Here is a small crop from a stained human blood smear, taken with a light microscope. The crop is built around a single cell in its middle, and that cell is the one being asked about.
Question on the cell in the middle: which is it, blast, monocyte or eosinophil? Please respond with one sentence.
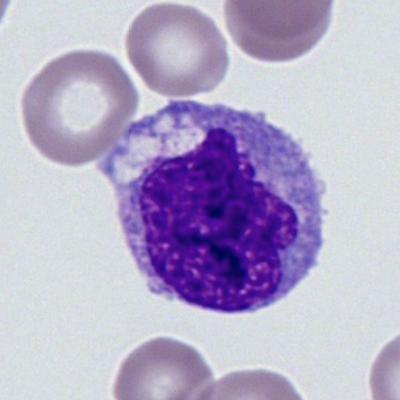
The cell the crop is centered on is a monocyte.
